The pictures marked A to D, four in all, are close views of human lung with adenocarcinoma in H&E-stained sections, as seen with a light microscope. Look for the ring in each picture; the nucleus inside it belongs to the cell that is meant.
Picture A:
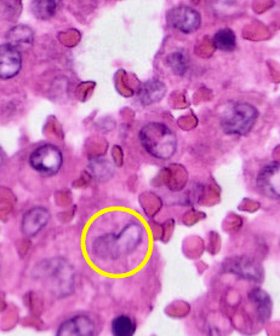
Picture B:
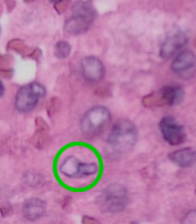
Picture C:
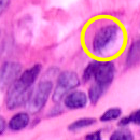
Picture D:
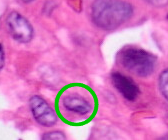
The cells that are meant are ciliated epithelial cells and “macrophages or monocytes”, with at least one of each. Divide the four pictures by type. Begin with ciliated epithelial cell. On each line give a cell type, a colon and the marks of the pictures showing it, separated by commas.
ciliated epithelial cell: C
macrophage or monocyte: A, B, D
